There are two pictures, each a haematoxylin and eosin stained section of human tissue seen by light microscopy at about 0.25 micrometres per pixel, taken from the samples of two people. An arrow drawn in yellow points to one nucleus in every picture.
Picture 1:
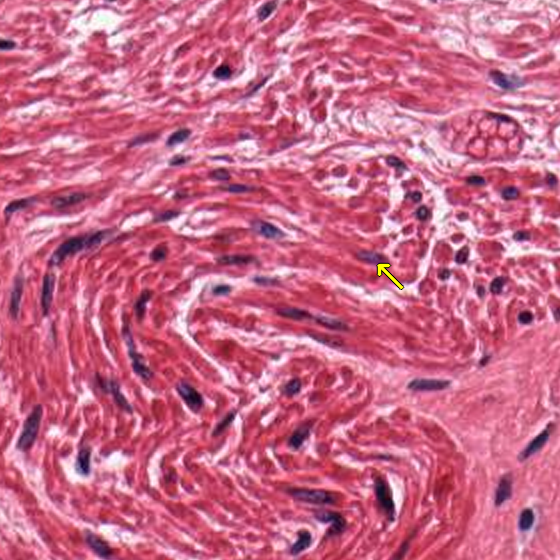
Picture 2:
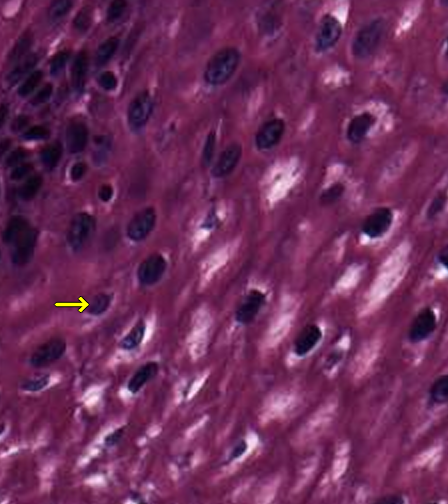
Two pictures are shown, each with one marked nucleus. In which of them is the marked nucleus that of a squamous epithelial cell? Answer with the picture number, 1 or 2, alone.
2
